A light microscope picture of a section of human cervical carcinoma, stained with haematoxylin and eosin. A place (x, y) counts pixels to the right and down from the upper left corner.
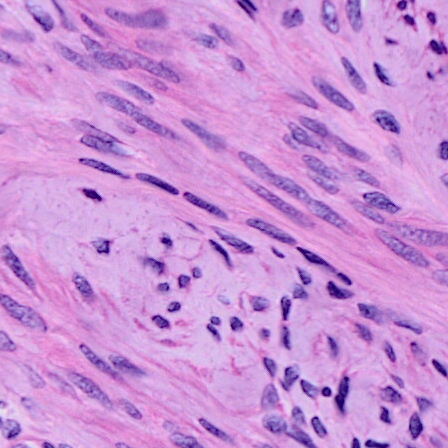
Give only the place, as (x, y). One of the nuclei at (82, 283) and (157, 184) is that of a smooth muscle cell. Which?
(82, 283)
